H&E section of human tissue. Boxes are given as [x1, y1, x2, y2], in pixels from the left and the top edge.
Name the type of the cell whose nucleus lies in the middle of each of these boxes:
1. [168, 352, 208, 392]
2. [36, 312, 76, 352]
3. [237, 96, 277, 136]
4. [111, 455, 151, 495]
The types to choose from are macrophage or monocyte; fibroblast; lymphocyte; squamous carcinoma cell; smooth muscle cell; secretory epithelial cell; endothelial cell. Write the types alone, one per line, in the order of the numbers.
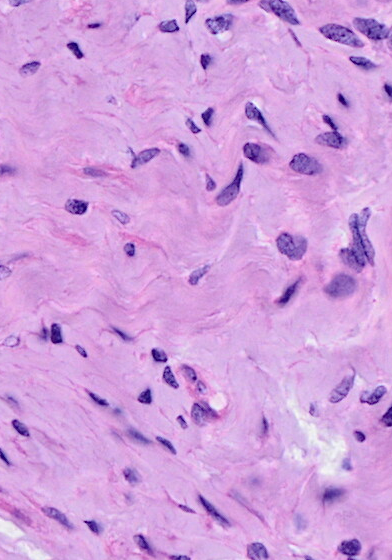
endothelial cell
fibroblast
fibroblast
fibroblast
